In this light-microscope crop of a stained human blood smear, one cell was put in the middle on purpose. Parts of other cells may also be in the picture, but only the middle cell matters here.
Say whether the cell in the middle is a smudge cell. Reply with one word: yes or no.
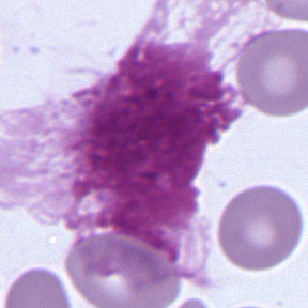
yes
